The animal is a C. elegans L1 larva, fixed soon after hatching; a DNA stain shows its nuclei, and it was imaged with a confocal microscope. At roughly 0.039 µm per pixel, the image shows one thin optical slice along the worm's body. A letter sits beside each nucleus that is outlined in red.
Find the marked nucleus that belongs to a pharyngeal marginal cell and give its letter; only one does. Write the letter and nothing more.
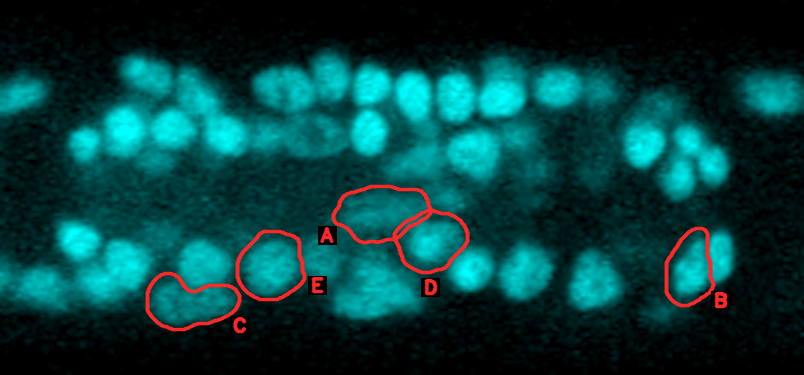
A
